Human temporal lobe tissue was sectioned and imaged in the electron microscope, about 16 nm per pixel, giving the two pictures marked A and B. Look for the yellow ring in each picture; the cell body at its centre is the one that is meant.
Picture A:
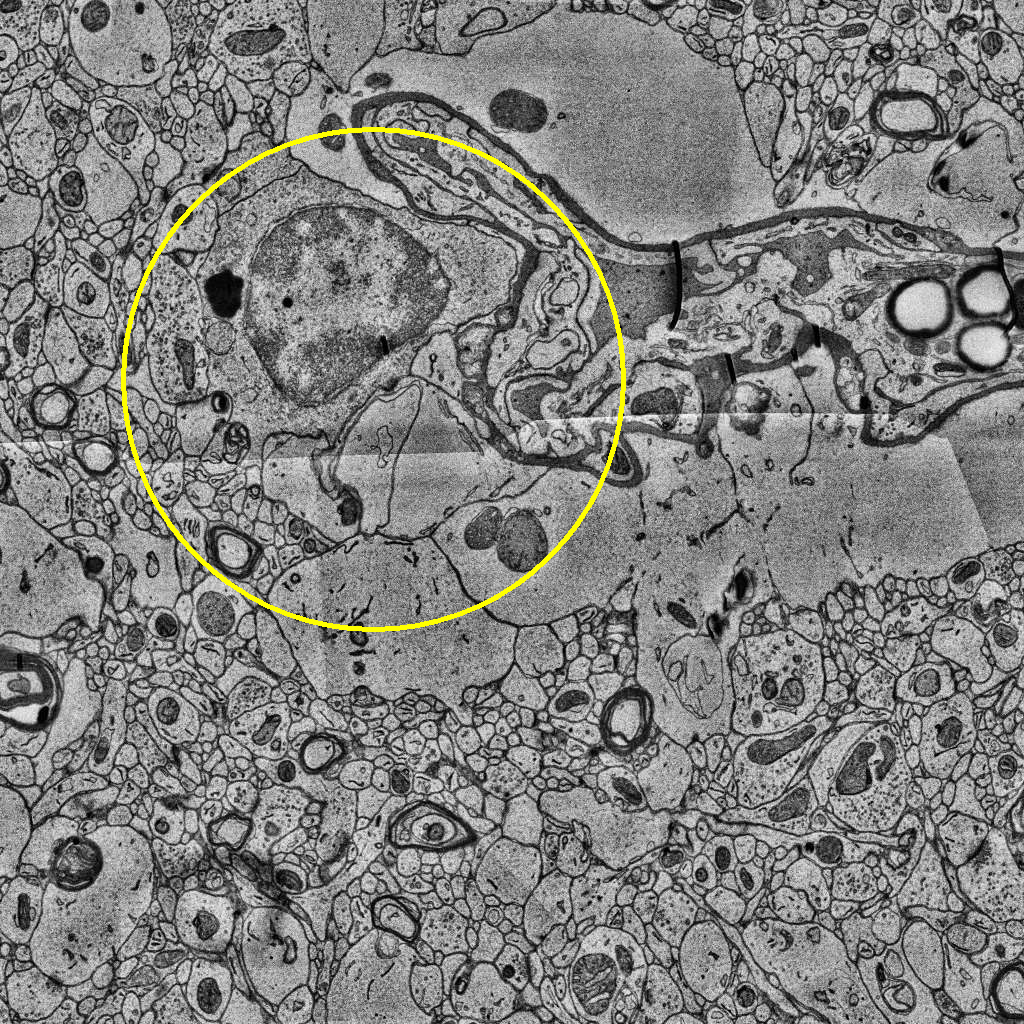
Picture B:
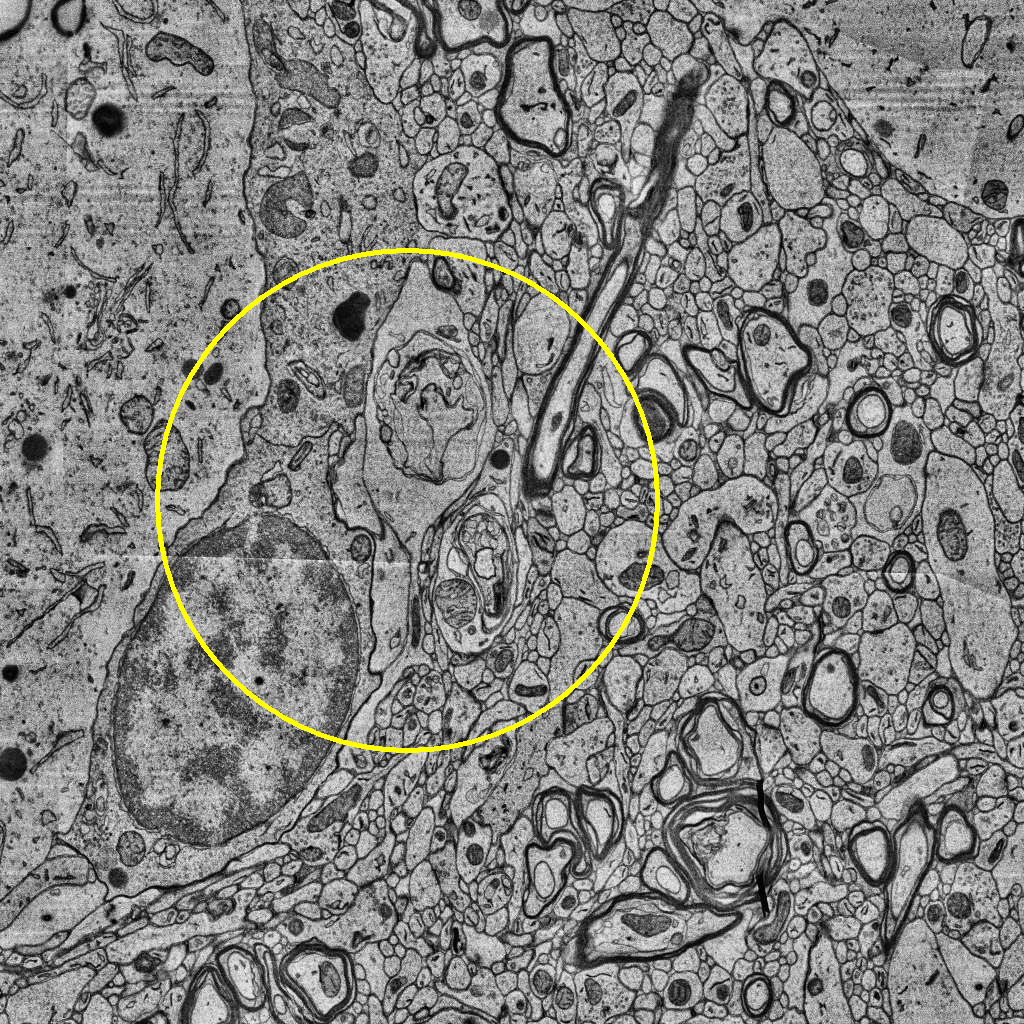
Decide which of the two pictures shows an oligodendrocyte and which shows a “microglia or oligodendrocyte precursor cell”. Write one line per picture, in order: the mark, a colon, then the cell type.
A: oligodendrocyte
B: microglia or oligodendrocyte precursor cell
